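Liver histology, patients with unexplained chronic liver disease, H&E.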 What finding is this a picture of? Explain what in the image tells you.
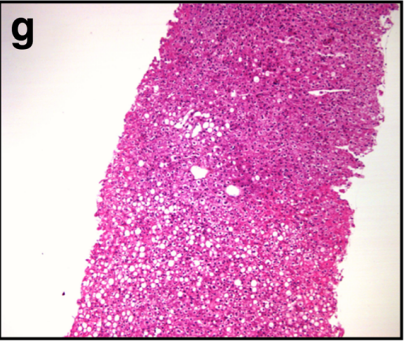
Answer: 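Steatosis. Scattered round clear vacuoles within the liver parenchyma. Vacuoles are of varying size.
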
